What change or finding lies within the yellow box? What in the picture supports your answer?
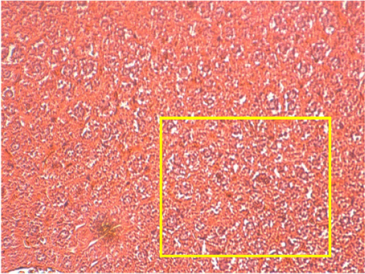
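Hepatocytes ballooning. Inside the box the liver cells have pale, cleared, vacuolated-looking cytoplasm.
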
